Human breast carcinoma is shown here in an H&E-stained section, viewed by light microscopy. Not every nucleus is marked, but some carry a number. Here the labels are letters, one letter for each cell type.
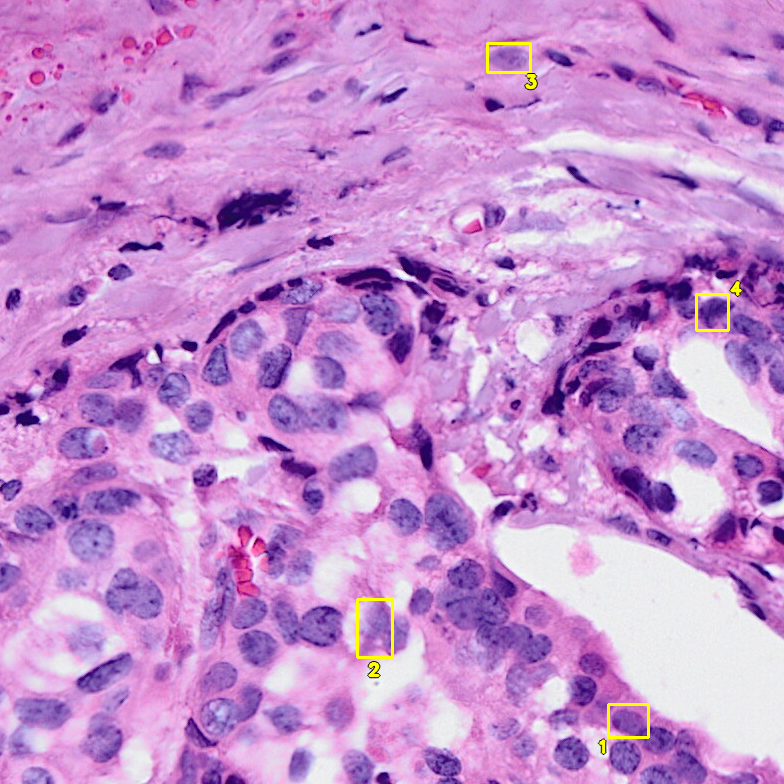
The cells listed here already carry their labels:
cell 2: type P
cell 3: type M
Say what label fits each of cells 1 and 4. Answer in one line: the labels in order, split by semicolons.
type P; type P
